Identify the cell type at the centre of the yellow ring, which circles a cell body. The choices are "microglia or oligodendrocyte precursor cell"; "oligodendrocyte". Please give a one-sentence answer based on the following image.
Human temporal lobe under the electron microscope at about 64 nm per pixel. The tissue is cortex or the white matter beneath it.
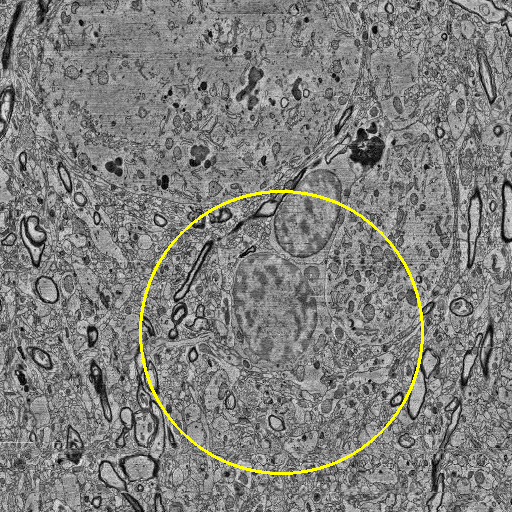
The cell marked by the ring is an oligodendrocyte.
